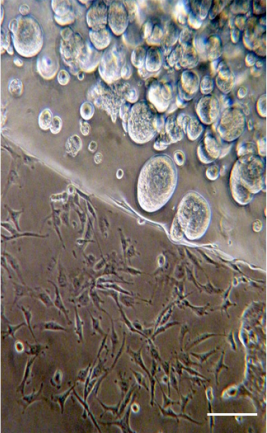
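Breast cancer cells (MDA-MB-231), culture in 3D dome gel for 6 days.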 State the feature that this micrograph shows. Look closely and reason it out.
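The upper right part holds many round, compact, multicellular spherical bodies of varied size. The spherical bodies lie above a diagonal edge that runs across the panel.
Spheroids.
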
